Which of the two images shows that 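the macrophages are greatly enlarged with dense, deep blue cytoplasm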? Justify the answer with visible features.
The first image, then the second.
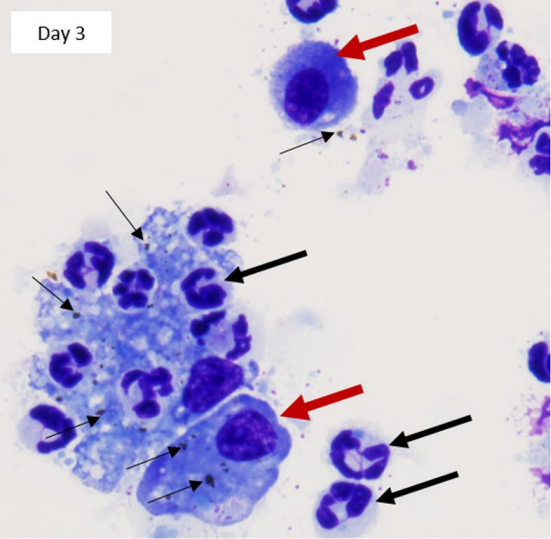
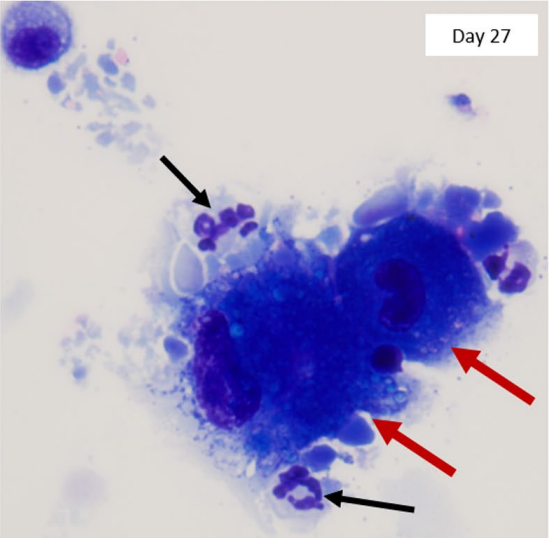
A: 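The second image. Second image: the marked macrophages are huge, with dark blue, densely granular cytoplasm dwarfing nearby cells. First image: the marked macrophages are smaller, with paler blue cytoplasm.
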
